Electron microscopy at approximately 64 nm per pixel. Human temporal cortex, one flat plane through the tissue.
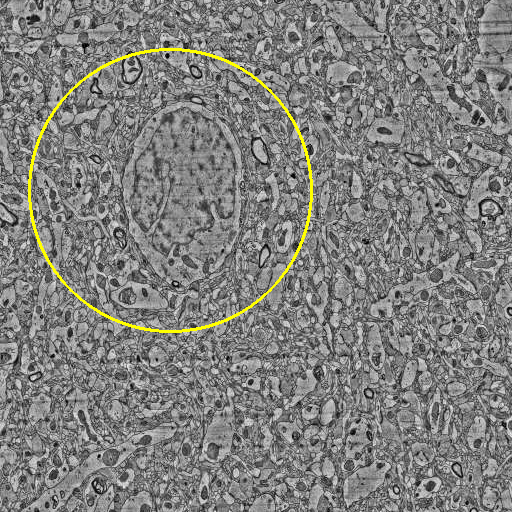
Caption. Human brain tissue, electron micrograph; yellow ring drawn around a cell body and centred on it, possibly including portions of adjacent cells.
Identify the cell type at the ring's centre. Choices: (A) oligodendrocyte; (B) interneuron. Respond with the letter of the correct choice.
B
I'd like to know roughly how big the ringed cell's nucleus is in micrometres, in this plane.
About 8 by 7 micrometers, in this plane.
